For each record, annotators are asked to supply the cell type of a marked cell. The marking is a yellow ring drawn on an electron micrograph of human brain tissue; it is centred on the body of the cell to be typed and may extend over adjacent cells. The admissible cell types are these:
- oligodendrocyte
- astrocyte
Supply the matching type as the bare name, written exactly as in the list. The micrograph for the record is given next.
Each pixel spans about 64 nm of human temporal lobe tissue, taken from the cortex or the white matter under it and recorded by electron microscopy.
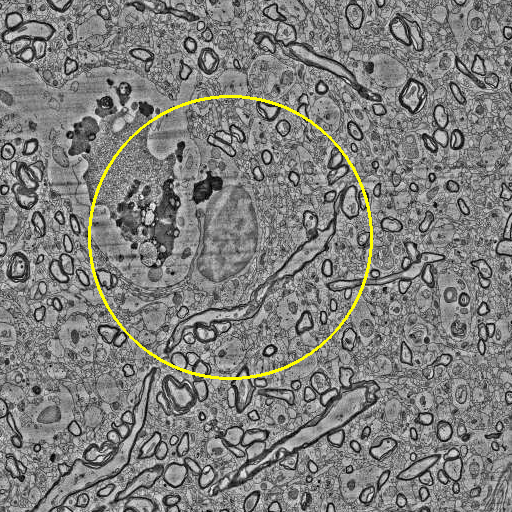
oligodendrocyte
